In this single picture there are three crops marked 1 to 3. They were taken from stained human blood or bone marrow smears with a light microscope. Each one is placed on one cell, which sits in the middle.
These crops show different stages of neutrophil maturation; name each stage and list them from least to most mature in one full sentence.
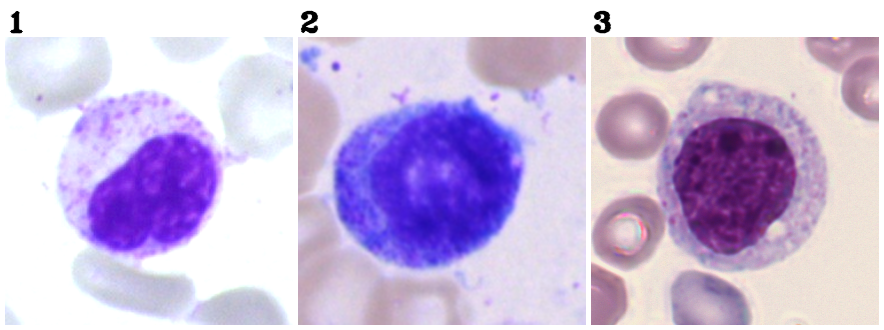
Proceeding from least to most mature, the order is crop 2 (a promyelocyte), crop 3 (a myelocyte) and crop 1 (a metamyelocyte).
